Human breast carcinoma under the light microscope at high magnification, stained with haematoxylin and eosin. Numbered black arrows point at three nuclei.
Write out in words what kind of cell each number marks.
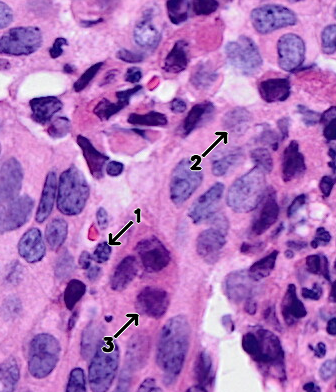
Cell 1 is a lymphocyte, cell 2 is a carcinoma cell and cell 3 is a carcinoma cell.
